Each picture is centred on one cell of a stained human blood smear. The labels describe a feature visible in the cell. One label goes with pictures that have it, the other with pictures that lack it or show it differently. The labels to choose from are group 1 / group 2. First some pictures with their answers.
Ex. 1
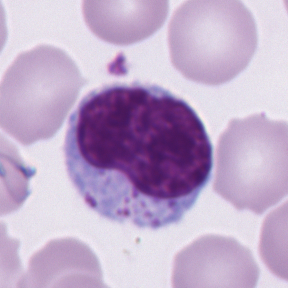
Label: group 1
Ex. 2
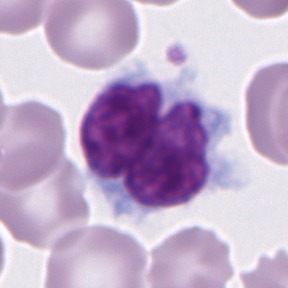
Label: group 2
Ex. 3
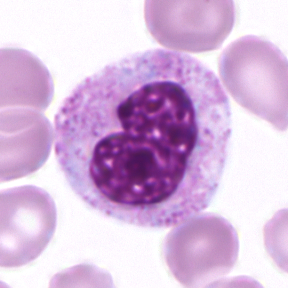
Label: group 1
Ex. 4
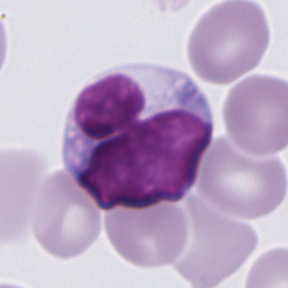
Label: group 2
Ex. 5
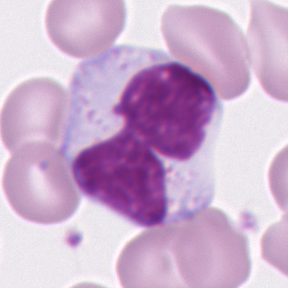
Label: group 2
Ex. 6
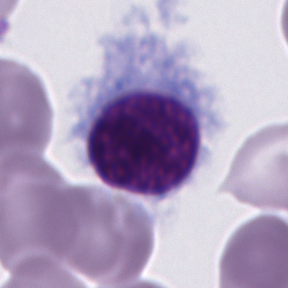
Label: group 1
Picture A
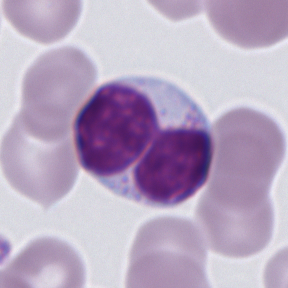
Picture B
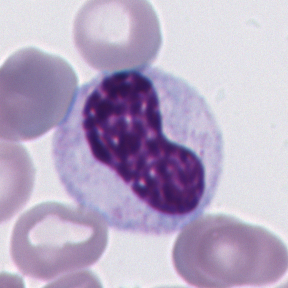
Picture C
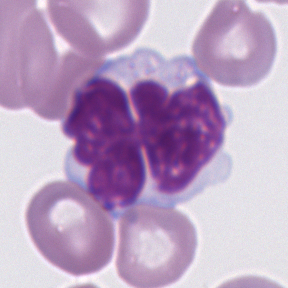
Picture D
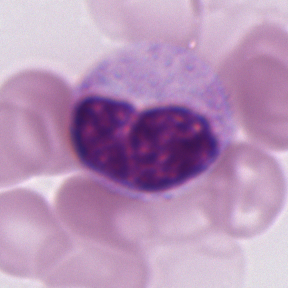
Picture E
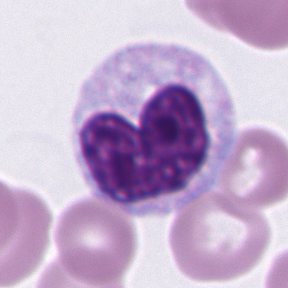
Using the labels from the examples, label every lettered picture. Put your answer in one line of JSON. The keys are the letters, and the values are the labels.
{"A": "group 2", "B": "group 1", "C": "group 2", "D": "group 2", "E": "group 2"}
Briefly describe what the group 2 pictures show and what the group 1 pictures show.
In group 2: lobed nucleus. In group 1: single compact nucleus.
